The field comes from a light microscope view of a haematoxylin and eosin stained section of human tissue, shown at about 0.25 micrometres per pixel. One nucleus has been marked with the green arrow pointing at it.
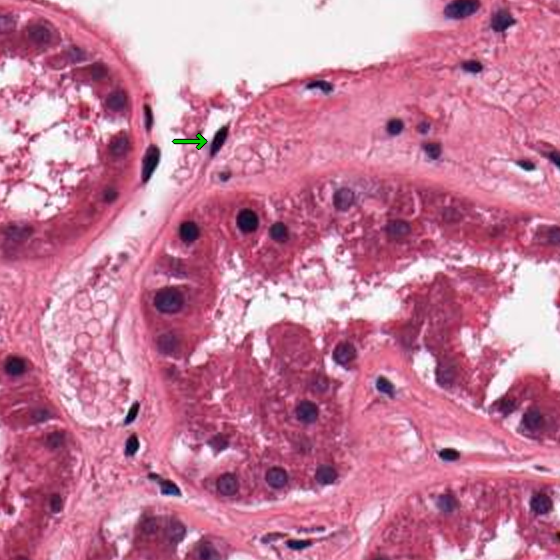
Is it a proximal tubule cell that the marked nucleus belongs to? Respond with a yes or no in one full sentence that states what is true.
No, the marked nucleus is the nucleus of a supporting cell rather than of a proximal tubule cell.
